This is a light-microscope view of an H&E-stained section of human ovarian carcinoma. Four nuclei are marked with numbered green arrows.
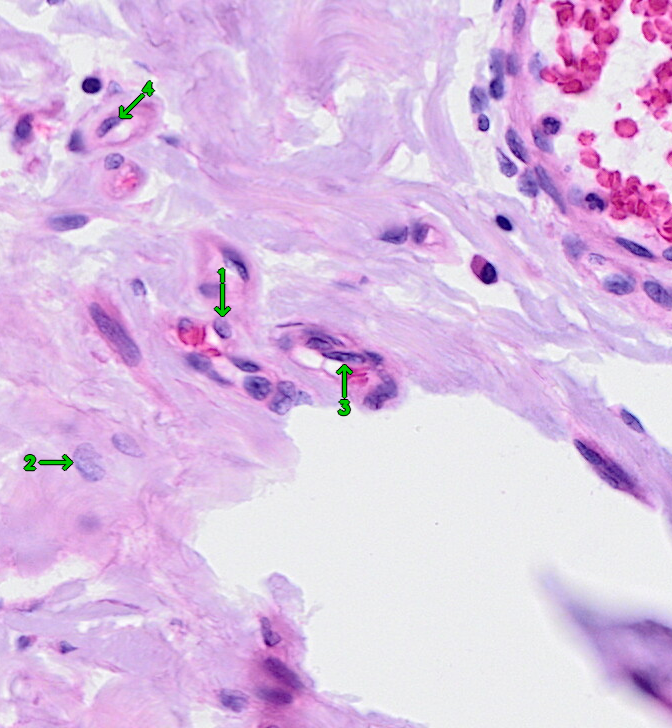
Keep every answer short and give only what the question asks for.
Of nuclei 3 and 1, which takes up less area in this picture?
1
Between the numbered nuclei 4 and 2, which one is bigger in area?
2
